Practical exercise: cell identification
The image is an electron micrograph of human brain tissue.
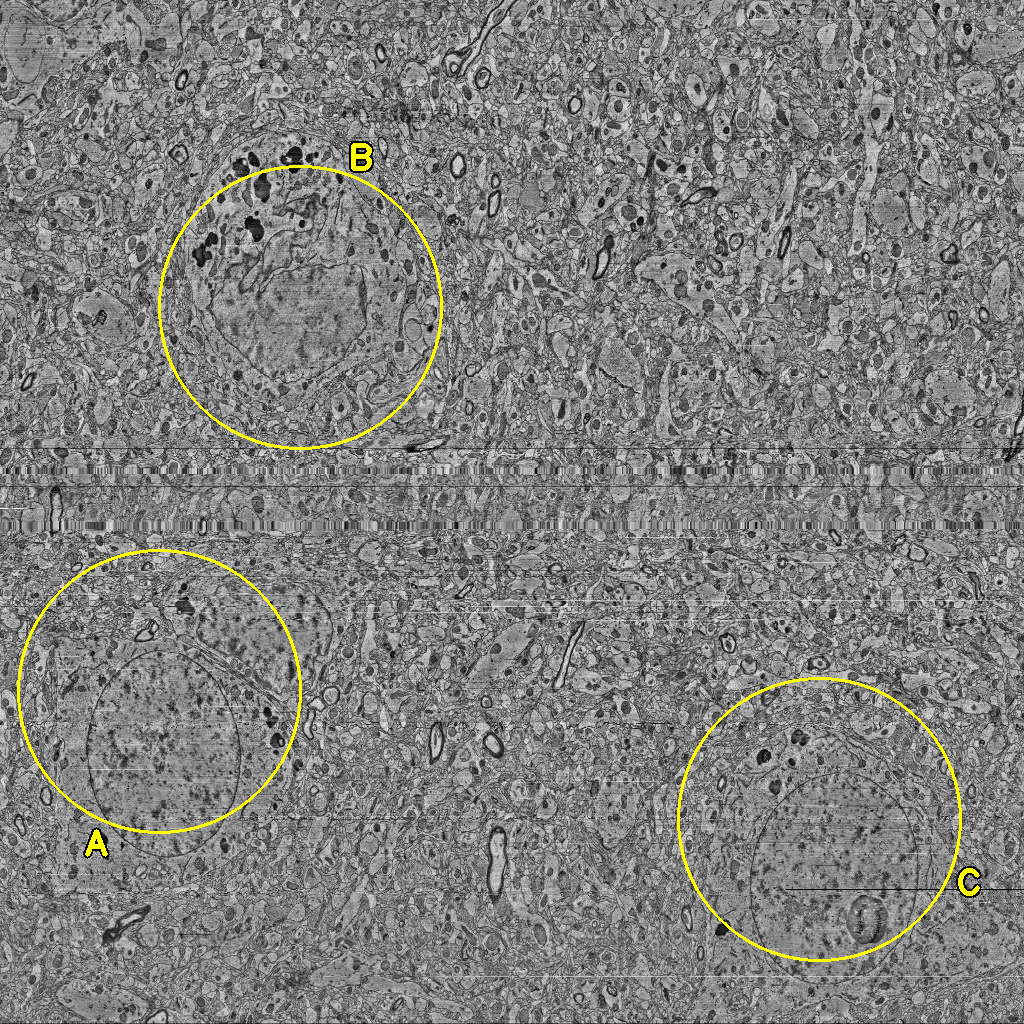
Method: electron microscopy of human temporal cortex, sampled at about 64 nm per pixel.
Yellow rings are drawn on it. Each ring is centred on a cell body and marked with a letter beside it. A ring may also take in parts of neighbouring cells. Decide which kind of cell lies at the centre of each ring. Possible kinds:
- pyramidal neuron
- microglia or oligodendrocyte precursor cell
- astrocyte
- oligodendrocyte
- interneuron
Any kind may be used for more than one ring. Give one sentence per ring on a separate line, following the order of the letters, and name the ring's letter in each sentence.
The cell in the middle of ring A is a pyramidal neuron.
The cell in the middle of ring B is an interneuron.
The cell in the middle of ring C is a pyramidal neuron.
